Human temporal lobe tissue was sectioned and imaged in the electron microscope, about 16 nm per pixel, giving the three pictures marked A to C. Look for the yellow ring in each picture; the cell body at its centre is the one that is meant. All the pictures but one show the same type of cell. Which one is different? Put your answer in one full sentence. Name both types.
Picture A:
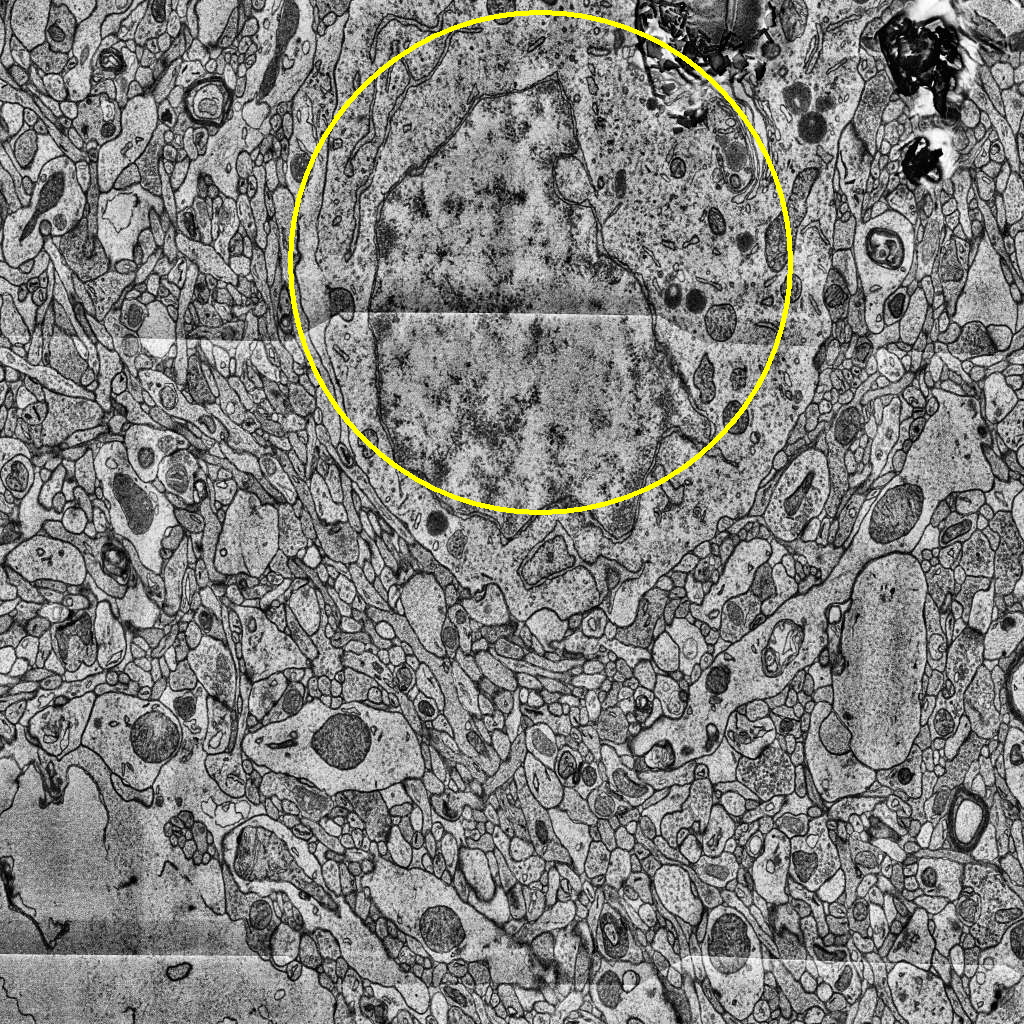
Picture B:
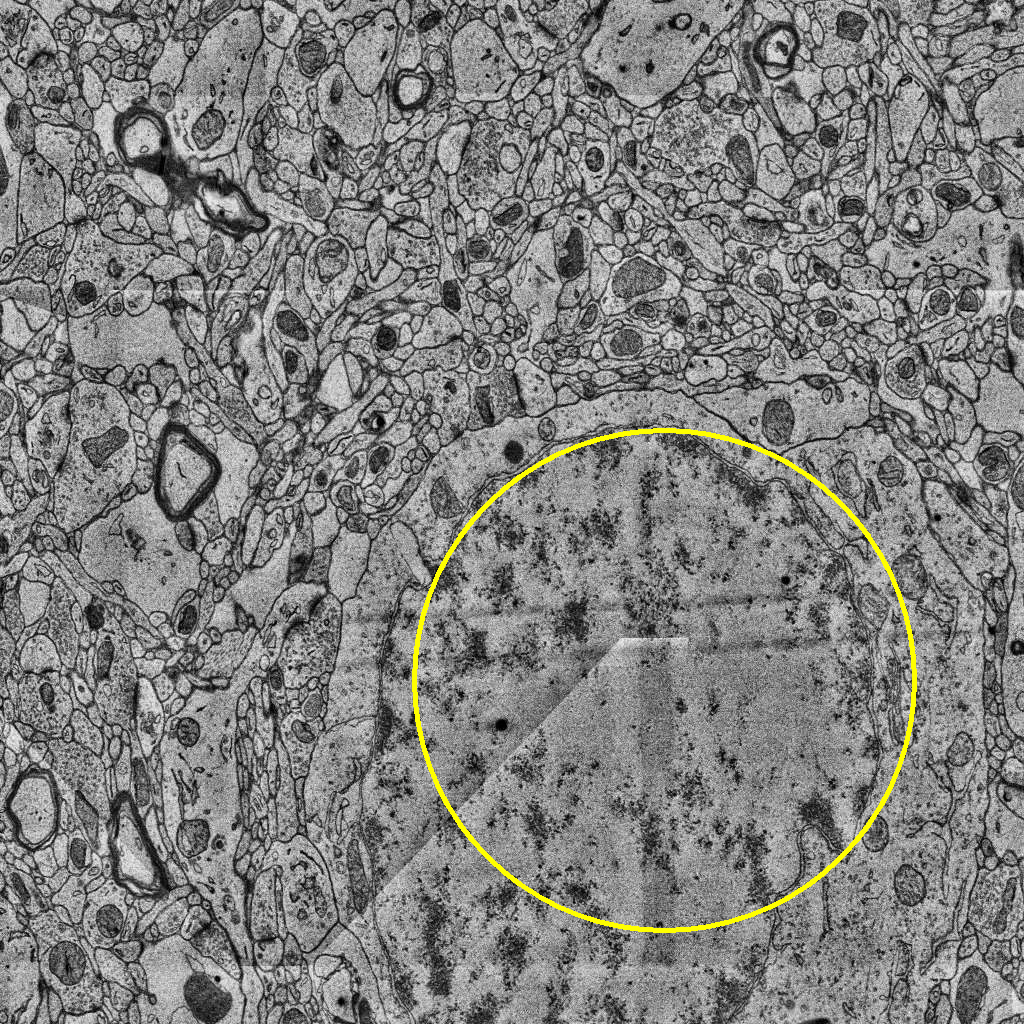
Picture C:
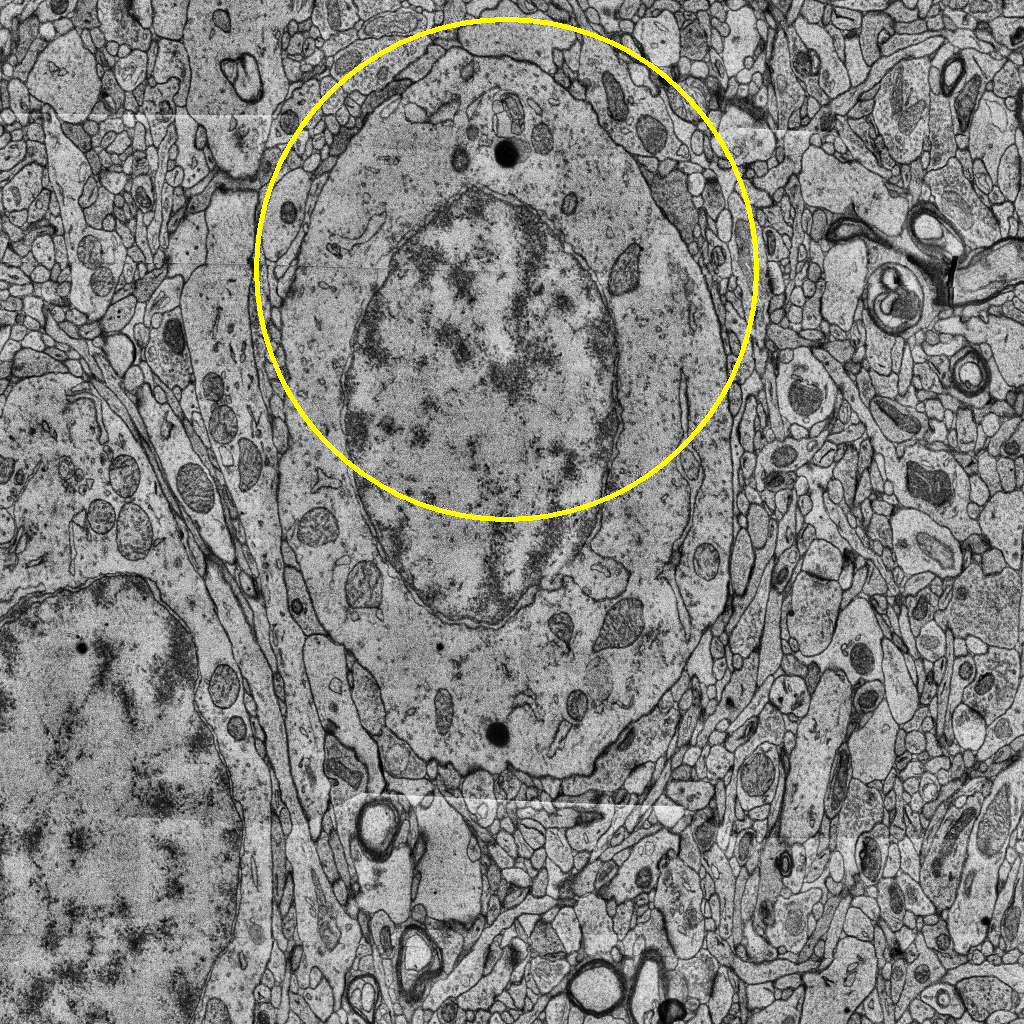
Picture C differs, because its cell is a pyramidal neuron and the rest are interneurons.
